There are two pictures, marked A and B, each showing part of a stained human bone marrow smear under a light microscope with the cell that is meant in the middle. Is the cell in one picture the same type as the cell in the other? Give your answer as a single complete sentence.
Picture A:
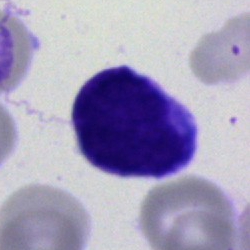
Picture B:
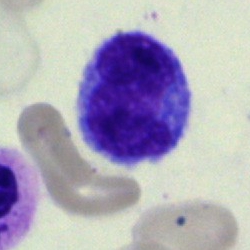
No. Picture A shows a blast, but picture B shows a monocyte.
